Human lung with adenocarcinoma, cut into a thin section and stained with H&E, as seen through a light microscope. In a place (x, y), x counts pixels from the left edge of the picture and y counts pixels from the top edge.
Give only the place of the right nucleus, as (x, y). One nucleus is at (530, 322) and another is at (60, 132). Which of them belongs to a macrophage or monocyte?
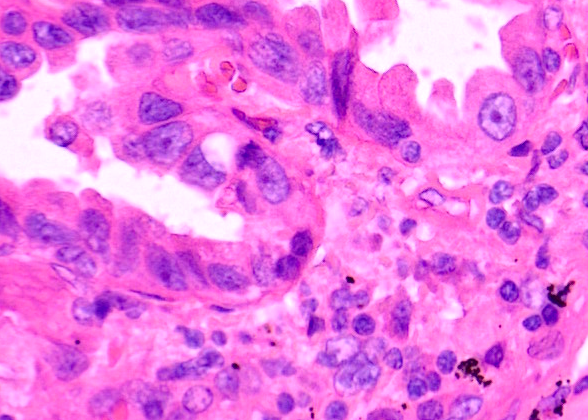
(60, 132)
